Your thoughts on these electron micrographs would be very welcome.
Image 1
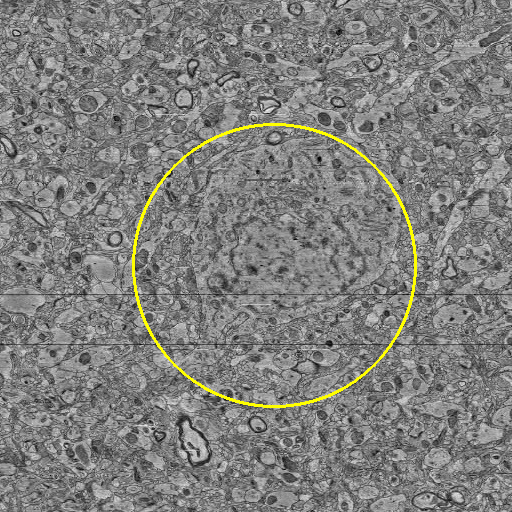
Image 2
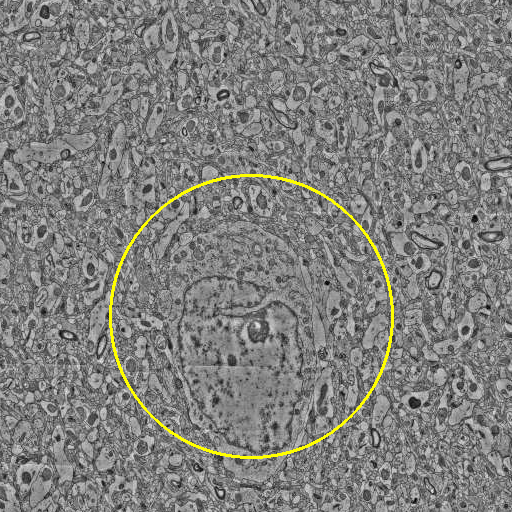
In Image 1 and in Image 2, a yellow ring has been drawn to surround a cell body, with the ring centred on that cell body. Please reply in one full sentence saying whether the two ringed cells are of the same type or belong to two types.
The ringed cells in Image 1 and Image 2 are of the same type.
